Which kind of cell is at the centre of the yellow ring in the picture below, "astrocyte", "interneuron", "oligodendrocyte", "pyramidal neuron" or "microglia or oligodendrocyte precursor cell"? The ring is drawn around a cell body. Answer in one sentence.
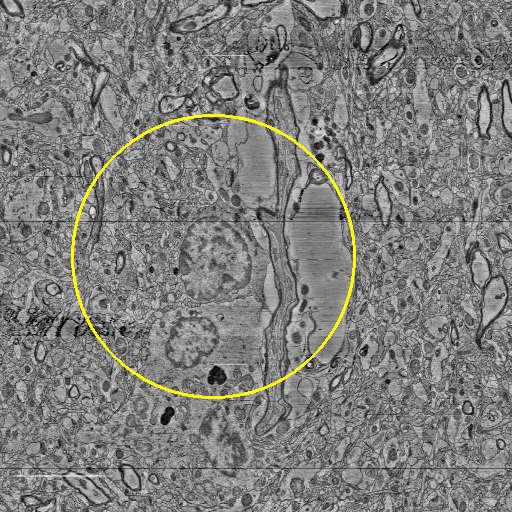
The ring's central cell is an oligodendrocyte.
